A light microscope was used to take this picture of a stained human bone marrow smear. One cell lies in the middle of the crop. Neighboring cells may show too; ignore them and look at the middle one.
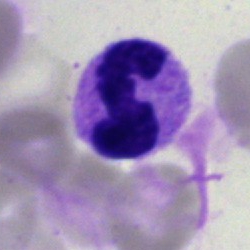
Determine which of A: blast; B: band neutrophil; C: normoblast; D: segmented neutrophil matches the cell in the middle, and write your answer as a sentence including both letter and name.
The cell centred in the crop is a segmented neutrophil, and the correct option is thus D.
